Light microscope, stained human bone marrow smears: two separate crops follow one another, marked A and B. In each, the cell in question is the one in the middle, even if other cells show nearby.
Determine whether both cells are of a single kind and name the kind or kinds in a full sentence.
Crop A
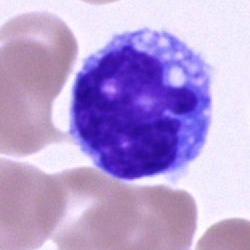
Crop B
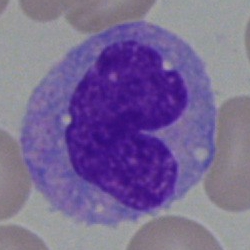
Yes, both crops are centred on cells that are monocytes.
